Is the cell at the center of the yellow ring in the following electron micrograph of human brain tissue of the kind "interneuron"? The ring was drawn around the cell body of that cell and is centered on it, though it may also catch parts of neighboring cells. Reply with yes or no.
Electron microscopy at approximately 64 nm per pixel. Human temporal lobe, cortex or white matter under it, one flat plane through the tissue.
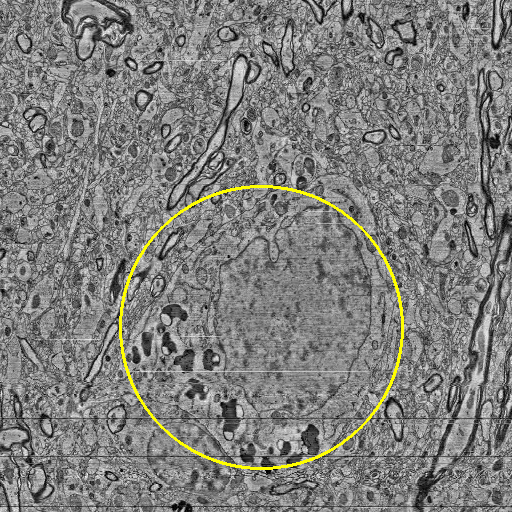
Yes, that is its kind.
